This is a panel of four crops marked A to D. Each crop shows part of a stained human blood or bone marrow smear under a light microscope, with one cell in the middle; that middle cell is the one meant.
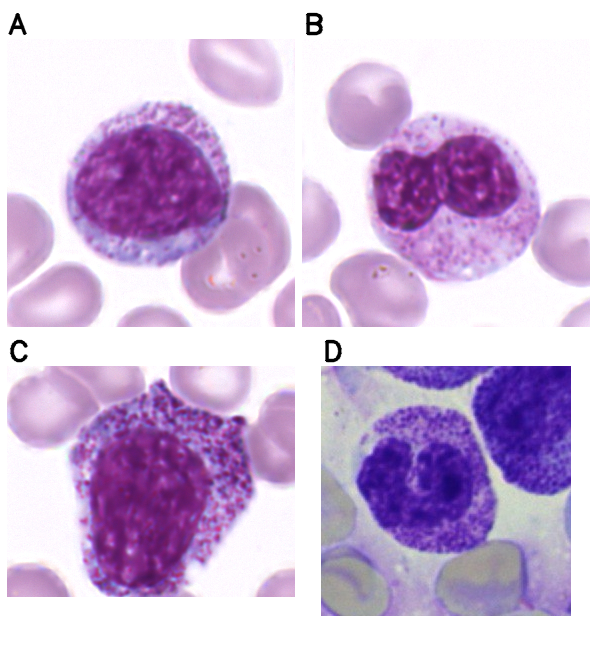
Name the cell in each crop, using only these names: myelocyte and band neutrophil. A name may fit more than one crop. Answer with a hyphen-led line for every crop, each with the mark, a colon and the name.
- A: myelocyte
- B: band neutrophil
- C: myelocyte
- D: band neutrophil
